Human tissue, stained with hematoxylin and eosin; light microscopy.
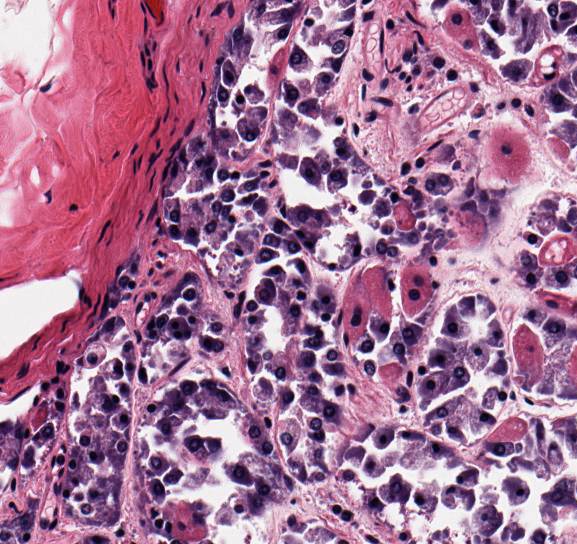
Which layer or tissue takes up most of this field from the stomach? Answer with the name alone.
fundic glands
